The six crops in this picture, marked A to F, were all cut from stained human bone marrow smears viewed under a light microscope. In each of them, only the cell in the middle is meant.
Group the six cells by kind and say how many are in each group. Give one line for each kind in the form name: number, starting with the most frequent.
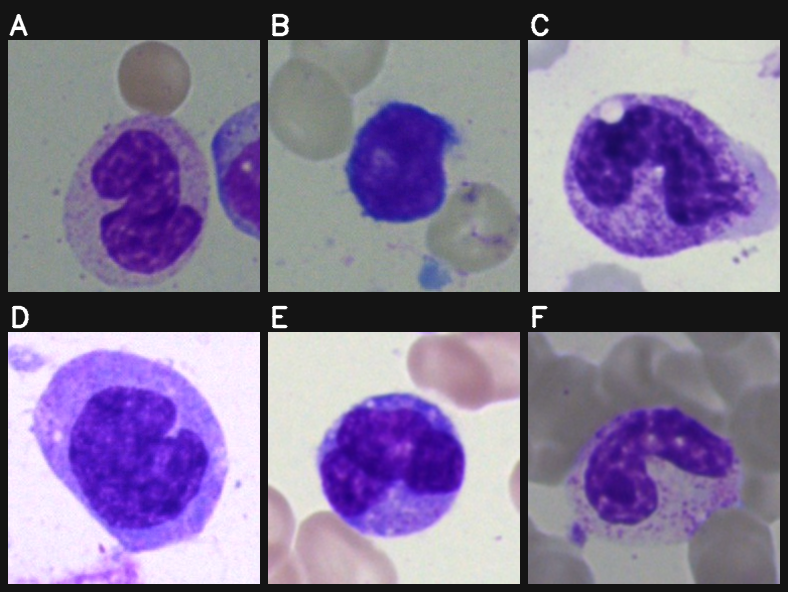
band neutrophil: 3
monocyte: 2
blast: 1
